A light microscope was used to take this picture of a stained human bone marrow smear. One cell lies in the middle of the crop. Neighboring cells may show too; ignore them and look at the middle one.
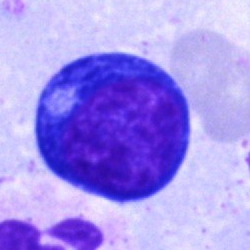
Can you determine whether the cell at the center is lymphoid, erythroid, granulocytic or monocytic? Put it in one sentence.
The cell at the crop's center is part of the erythroid lineage.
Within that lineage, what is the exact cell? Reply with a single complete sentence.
In the middle of this smear crop, the cell is a proerythroblast.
